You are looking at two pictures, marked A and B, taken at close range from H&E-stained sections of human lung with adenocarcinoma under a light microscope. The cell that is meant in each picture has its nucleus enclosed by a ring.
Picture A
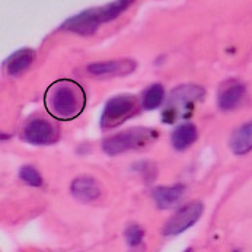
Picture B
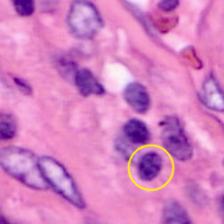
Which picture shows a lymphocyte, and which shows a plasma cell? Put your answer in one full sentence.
Picture B shows a lymphocyte, while picture A shows a plasma cell.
